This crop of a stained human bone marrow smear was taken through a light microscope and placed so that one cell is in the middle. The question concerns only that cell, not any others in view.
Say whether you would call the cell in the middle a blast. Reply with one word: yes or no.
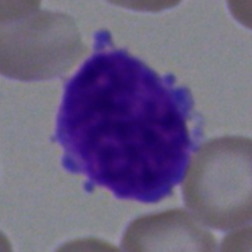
yes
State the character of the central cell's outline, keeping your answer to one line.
The border of the cell is irregular, being either ragged or extended into projections.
